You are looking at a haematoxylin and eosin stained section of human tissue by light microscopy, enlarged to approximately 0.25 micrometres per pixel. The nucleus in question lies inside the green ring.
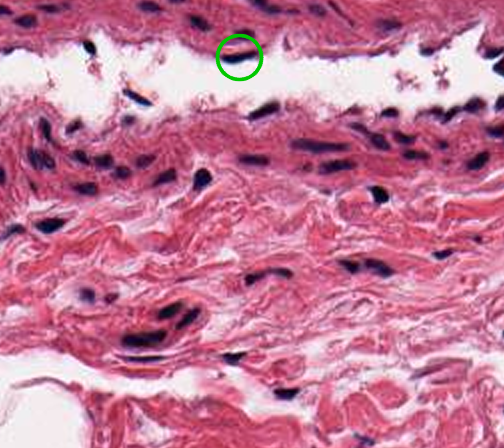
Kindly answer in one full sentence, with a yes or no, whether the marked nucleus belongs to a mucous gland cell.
No, the marked nucleus is not borne by a mucous gland cell; it is borne by a supporting cell.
